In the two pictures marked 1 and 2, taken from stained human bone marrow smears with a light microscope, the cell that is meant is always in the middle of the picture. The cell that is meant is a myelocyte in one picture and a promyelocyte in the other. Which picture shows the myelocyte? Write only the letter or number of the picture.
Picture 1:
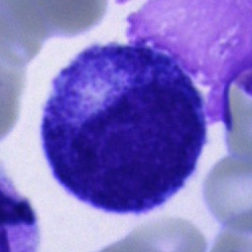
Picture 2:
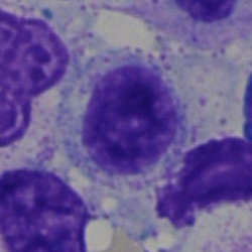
2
